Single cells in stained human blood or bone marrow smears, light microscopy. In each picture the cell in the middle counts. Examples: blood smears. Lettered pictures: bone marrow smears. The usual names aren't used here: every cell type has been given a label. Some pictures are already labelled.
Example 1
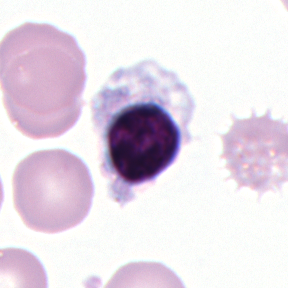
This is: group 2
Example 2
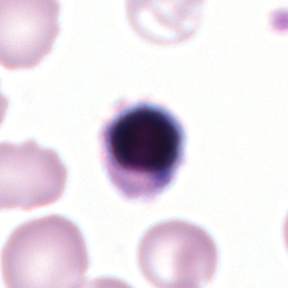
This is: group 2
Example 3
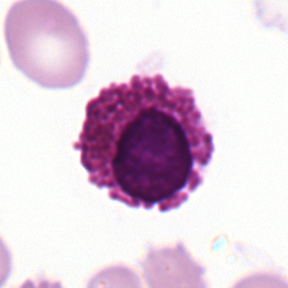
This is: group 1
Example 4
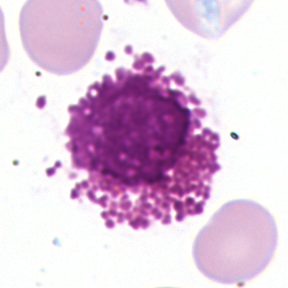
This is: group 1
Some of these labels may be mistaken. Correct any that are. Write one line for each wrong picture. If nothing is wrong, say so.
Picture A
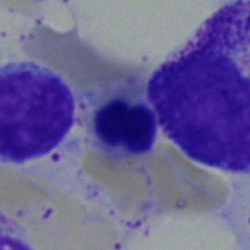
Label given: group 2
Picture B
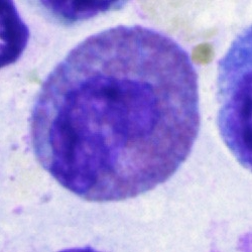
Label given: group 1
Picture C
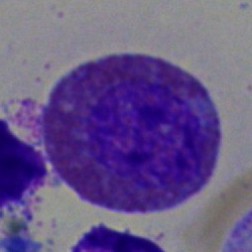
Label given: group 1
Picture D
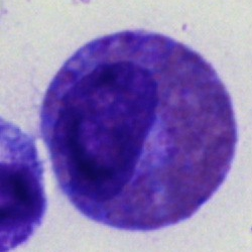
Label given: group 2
D: change group 2 to group 1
